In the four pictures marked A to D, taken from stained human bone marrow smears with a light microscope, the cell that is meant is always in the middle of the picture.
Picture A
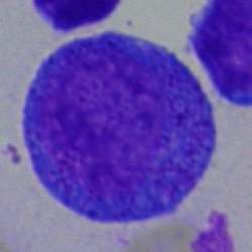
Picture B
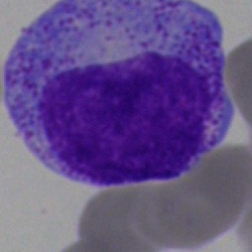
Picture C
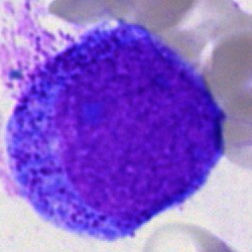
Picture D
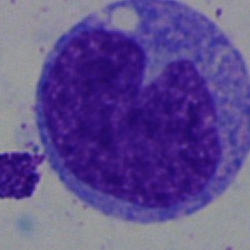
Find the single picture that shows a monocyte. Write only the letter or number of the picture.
D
